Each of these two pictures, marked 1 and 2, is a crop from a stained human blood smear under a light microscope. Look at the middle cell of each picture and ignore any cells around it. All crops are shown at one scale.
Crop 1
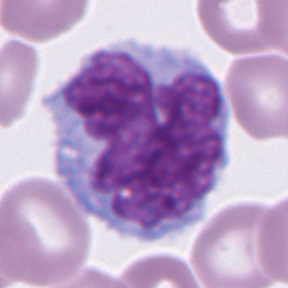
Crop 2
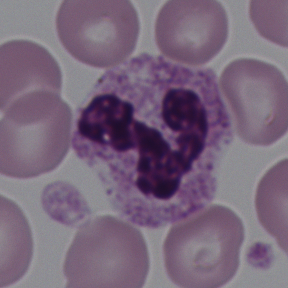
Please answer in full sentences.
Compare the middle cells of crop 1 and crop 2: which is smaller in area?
It is the cell in crop 2; the cell in crop 1 has about 1.5 times its area.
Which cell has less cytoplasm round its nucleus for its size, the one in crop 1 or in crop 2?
Of the two, the nucleus in crop 1 makes up the greater part of its cell.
